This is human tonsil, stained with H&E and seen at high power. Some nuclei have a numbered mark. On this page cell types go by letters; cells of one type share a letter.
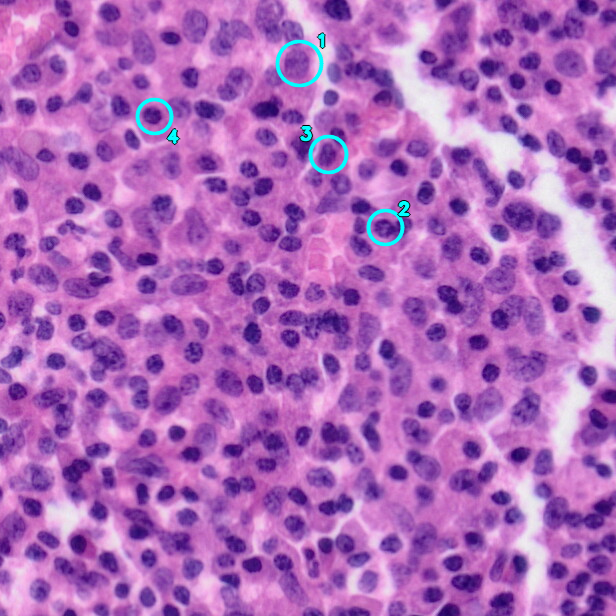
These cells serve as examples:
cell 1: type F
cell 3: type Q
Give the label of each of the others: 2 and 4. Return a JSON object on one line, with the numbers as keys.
{"2": "type Q", "4": "type Q"}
